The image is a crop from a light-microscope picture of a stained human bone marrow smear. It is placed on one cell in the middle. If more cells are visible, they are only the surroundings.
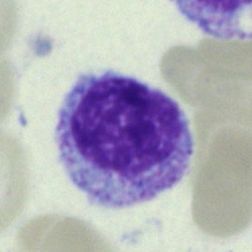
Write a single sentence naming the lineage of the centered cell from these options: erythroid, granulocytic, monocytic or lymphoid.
Regarding lineage, the cell in the center of this crop should be listed as granulocytic.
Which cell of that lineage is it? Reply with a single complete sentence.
In the middle of this smear crop is a myelocyte.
